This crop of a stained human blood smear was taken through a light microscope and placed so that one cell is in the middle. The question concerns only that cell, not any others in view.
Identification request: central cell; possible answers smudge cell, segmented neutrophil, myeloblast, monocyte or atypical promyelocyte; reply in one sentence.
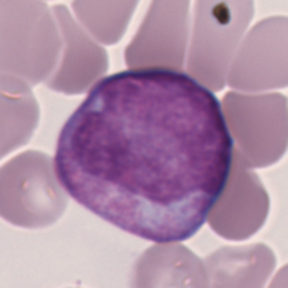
What the crop centres on is an atypical promyelocyte.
